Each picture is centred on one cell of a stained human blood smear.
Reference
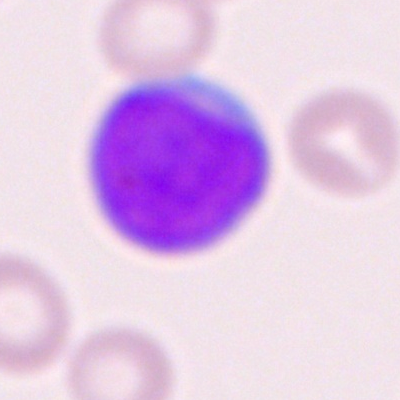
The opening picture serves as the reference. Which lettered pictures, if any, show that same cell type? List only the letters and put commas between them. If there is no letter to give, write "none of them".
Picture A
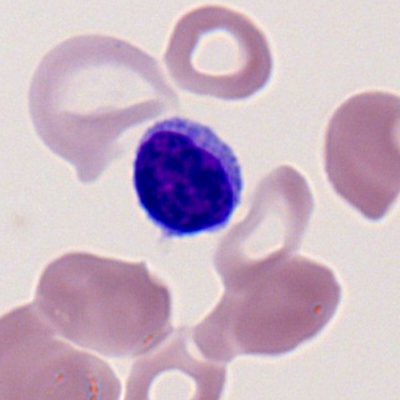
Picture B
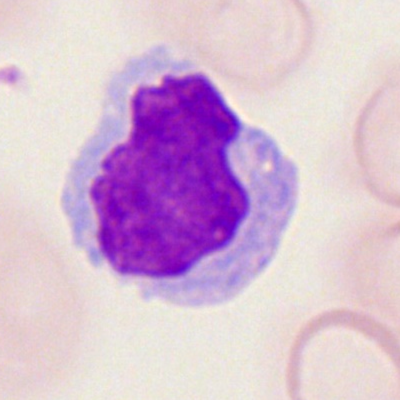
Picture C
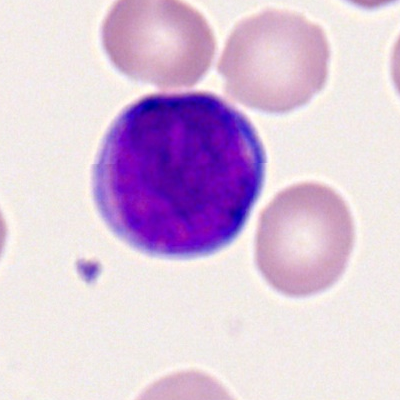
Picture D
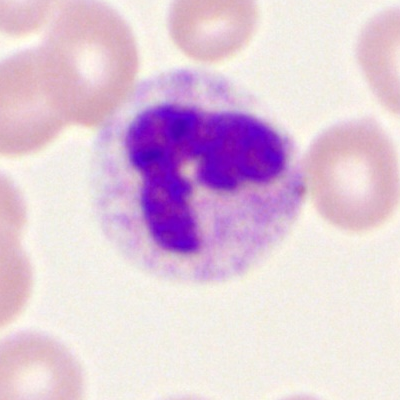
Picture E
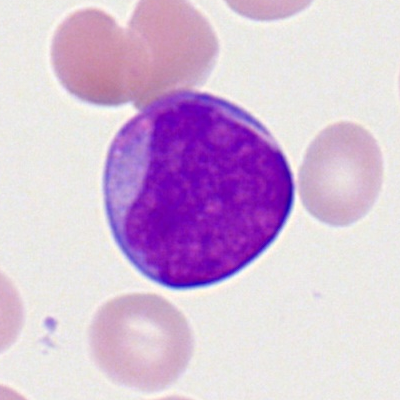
C, E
